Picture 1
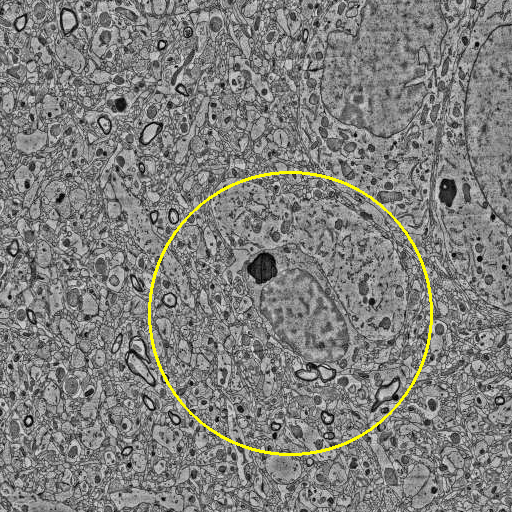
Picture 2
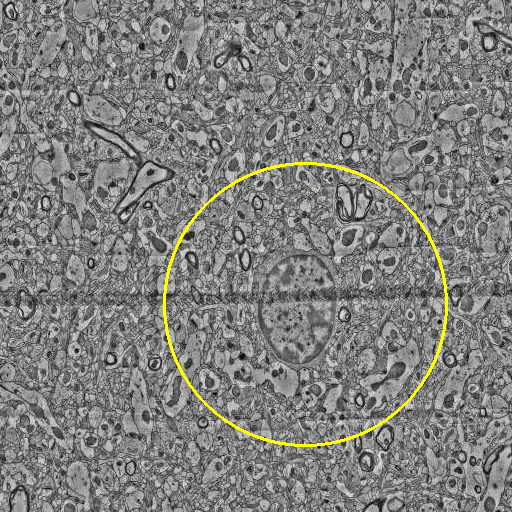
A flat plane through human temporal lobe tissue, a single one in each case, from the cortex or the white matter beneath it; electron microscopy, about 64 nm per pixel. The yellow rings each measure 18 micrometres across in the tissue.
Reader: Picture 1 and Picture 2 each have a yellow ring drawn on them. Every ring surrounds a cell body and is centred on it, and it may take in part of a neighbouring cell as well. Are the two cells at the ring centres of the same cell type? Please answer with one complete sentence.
Yes, both cells are of the same cell type.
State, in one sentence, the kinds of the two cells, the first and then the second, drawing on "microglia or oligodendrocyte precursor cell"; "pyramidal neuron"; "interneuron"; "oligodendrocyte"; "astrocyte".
The ring centre holds an oligodendrocyte in each of the two pictures.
